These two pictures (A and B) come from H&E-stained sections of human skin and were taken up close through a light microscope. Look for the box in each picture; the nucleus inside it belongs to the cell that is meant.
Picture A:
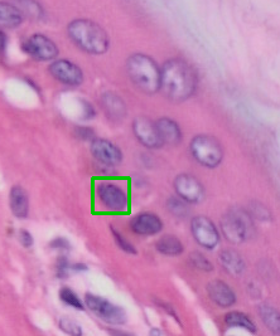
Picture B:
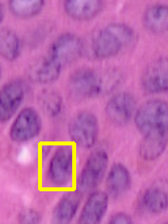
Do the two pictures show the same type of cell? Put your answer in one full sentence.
Yes; the cells in both pictures are basal keratinocytes.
